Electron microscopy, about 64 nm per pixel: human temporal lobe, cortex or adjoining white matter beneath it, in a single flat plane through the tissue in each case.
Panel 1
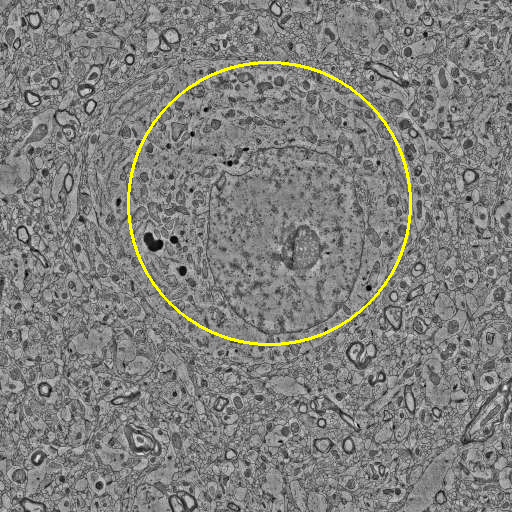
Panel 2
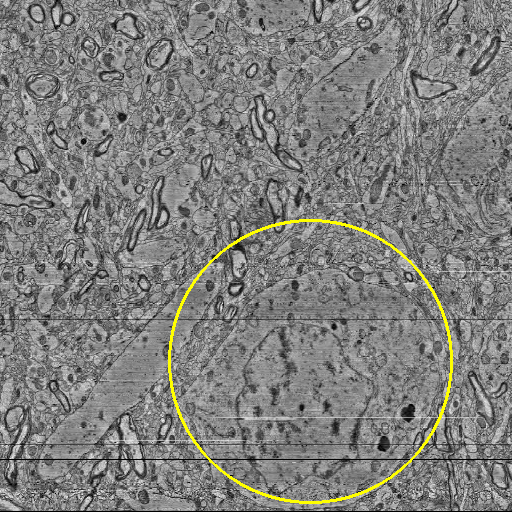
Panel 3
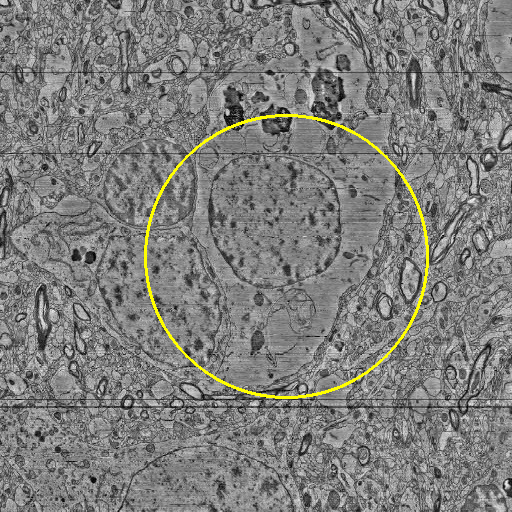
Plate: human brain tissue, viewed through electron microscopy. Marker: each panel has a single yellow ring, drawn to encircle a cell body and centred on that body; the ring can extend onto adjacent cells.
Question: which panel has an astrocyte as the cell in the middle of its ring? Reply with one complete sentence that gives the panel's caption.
Panel 3 is where the requested cell sits at the centre of the ring.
